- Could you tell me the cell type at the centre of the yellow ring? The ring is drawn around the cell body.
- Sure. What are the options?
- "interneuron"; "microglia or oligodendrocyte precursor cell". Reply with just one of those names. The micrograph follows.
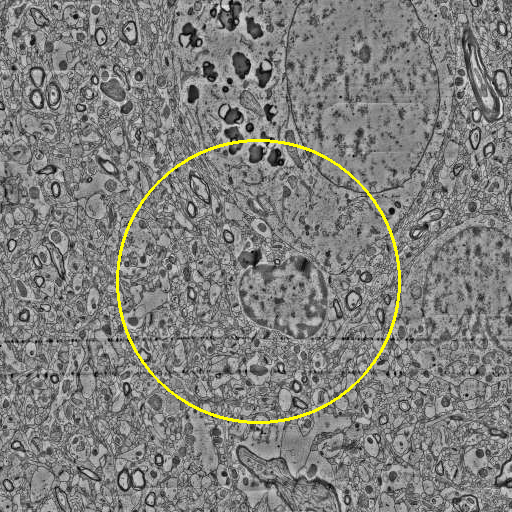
microglia or oligodendrocyte precursor cell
